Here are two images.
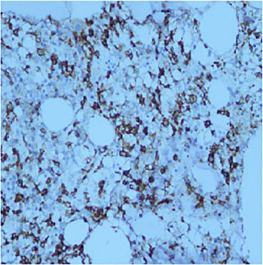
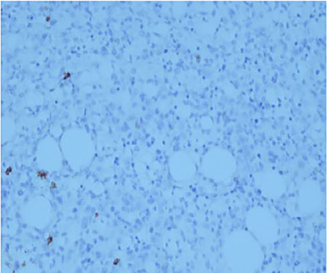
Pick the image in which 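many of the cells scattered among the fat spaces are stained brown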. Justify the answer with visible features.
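The first image. Second image: nearly all cells show only blue nuclei, with just a few isolated brown cells. First image: numerous cells throughout the field carry dark brown staining around their outlines.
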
